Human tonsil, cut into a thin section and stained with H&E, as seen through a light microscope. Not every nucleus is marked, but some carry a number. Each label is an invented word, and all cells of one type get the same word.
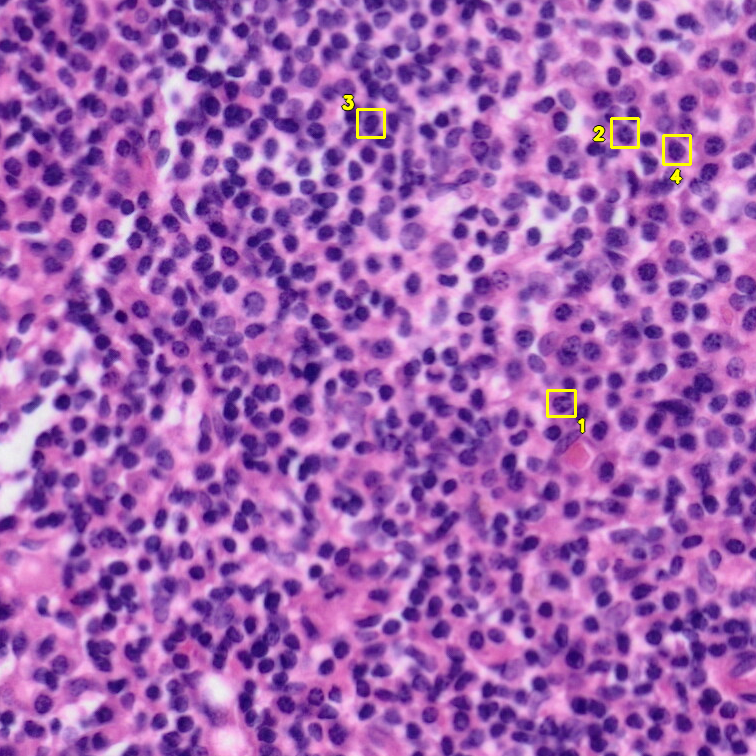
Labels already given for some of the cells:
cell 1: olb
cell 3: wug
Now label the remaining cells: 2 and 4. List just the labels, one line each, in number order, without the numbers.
olb
olb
